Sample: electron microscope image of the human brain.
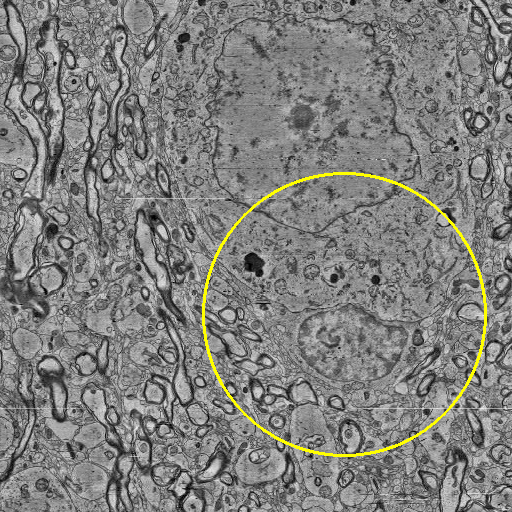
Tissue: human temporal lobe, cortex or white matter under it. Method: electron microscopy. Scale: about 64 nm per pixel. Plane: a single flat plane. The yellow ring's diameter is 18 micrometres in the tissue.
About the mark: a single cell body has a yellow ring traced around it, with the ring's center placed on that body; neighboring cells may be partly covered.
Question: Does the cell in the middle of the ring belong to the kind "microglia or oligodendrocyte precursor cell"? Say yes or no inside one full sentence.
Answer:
No, the cell at the ring's center in this image belongs to a different kind.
